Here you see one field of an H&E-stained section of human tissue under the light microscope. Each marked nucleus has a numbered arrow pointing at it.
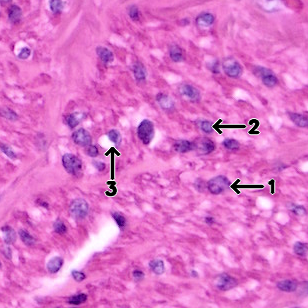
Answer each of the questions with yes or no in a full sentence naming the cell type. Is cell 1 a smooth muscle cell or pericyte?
No, the cell carrying number 1 is a mast cell, not a smooth muscle cell or pericyte.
